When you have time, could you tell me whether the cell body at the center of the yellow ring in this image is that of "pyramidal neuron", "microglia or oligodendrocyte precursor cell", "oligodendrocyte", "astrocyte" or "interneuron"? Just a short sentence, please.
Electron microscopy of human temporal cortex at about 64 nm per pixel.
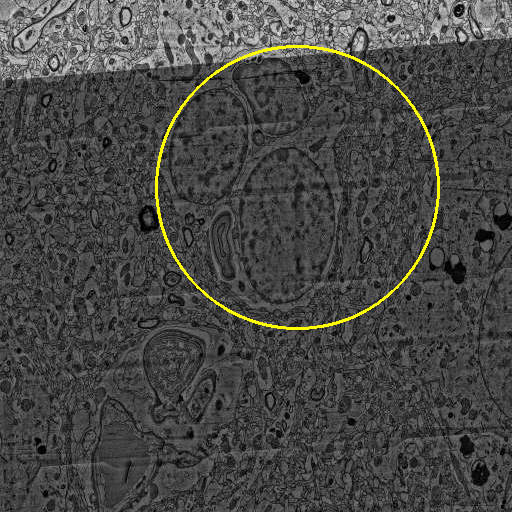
The cell body at the center of the ring is that of an astrocyte.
